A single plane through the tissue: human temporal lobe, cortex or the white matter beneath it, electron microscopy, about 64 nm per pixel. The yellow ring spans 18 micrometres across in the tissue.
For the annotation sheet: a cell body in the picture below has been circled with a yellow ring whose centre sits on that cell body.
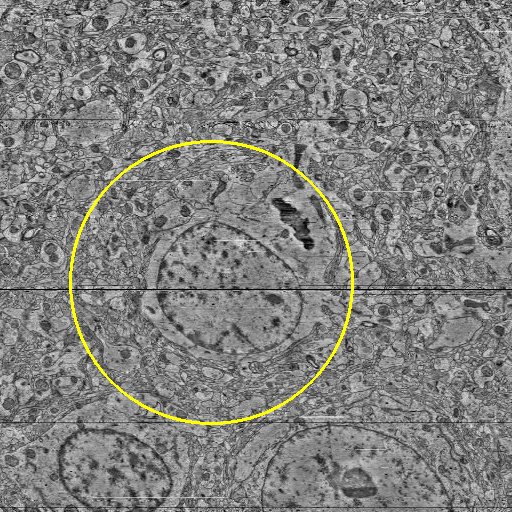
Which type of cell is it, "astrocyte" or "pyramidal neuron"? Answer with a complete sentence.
The circled cell is an astrocyte.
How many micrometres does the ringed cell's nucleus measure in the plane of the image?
About 10 by 8 micrometers, in this plane.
